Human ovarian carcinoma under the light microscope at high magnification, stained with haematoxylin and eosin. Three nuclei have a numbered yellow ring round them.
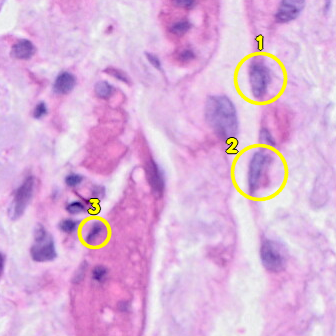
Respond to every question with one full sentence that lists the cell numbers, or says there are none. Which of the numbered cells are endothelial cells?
The cells the numbers 1 and 2 point to are endothelial cells.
